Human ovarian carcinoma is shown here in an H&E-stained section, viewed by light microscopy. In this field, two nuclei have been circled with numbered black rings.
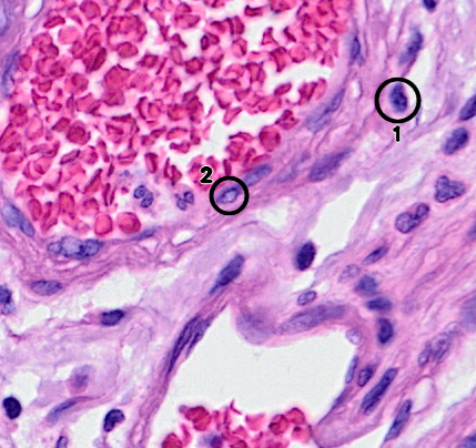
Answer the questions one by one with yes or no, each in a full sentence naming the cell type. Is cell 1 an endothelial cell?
No, it is a lymphocyte, not an endothelial cell, at number 1.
